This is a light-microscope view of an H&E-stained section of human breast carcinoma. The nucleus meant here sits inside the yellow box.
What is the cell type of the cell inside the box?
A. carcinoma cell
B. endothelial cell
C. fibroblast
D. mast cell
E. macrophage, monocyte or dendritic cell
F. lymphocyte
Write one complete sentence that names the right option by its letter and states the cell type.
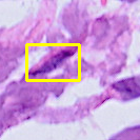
Option C is right, and the cell inside the box is a fibroblast.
